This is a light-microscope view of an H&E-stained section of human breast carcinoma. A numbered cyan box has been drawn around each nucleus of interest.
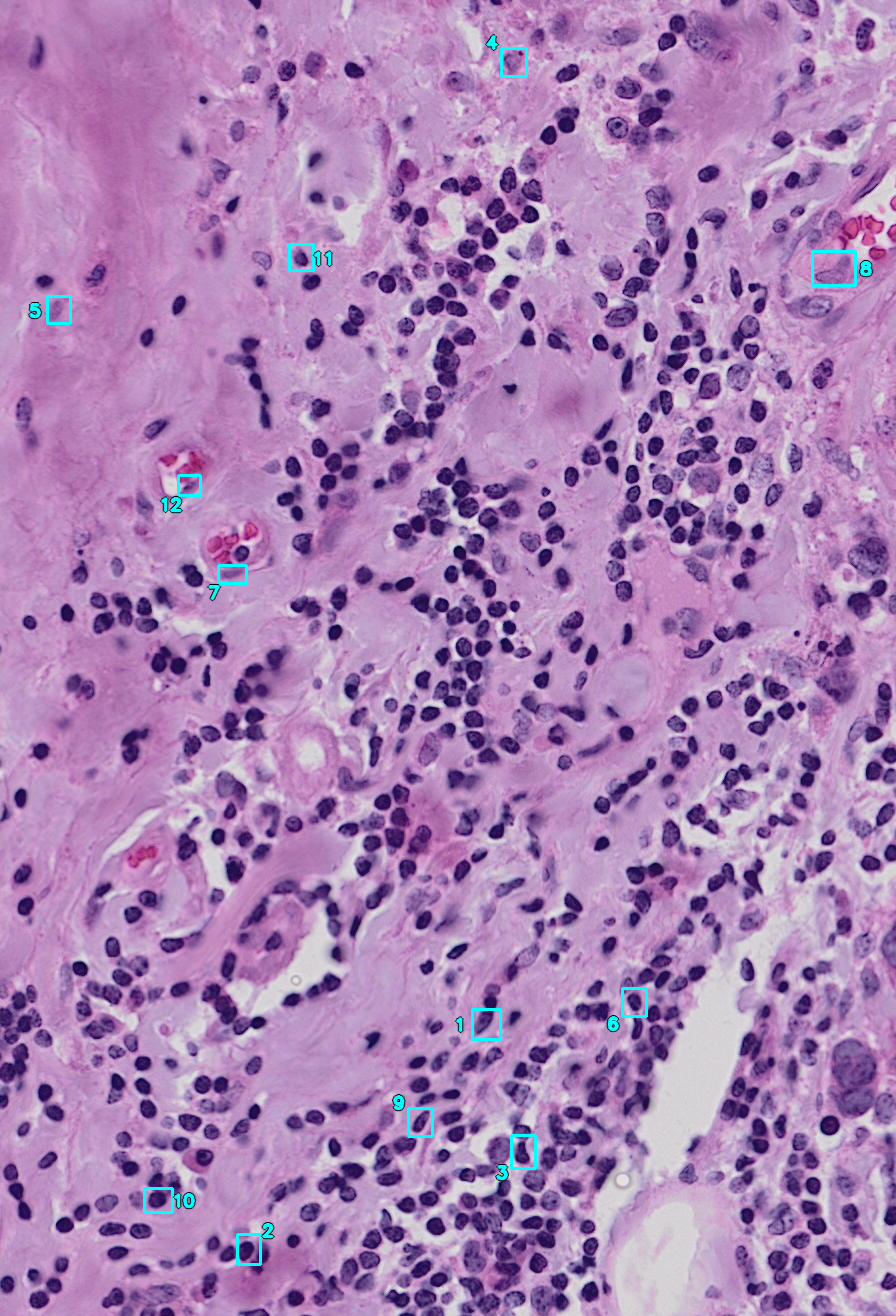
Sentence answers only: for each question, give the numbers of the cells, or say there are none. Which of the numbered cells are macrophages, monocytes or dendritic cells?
Just one of the numbered cells is a macrophage, monocyte or dendritic cell, namely number 4.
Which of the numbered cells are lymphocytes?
The cells with the number labels 1, 2, 3, 6, 9, 10 and 11 are lymphocytes.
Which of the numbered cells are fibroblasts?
Cell 5 is a fibroblast; every other numbered cell is something else.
